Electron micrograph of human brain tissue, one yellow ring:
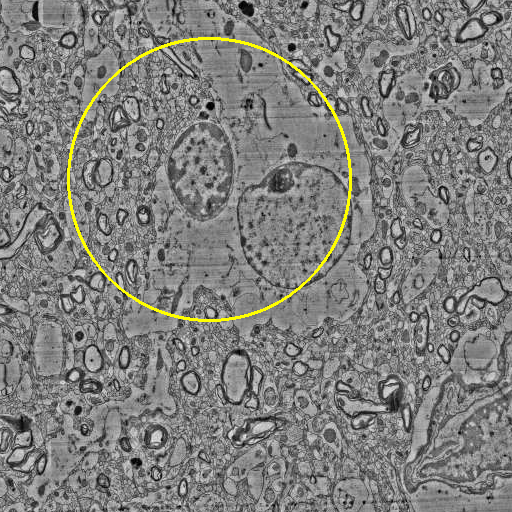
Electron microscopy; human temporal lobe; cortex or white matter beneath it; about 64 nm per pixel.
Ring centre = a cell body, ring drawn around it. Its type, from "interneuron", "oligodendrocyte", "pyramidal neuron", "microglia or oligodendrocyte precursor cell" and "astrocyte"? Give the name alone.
microglia or oligodendrocyte precursor cell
